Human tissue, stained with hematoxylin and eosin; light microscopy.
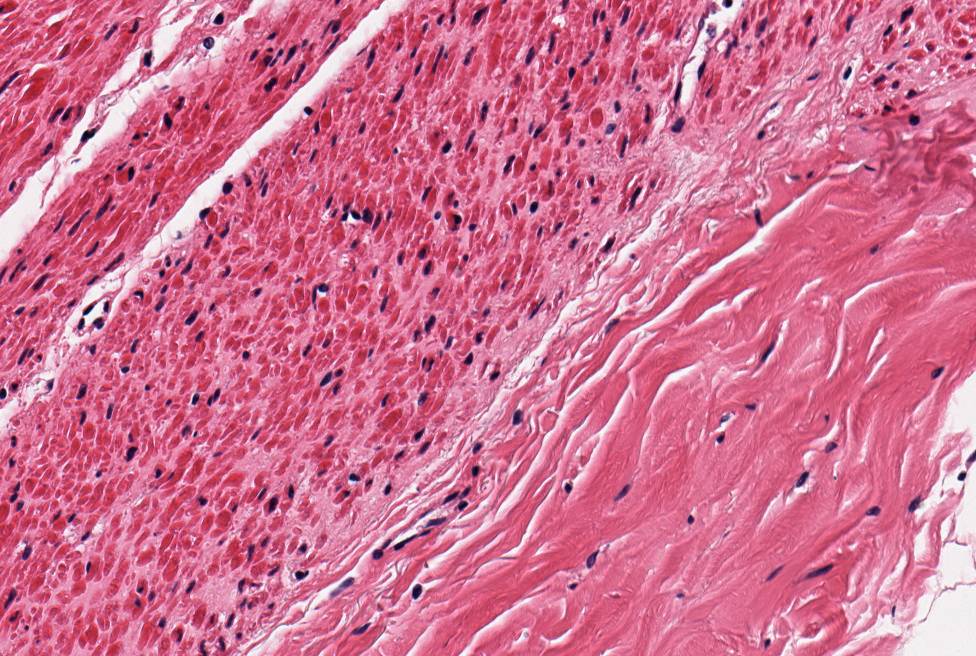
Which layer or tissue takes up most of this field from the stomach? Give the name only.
smooth muscle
